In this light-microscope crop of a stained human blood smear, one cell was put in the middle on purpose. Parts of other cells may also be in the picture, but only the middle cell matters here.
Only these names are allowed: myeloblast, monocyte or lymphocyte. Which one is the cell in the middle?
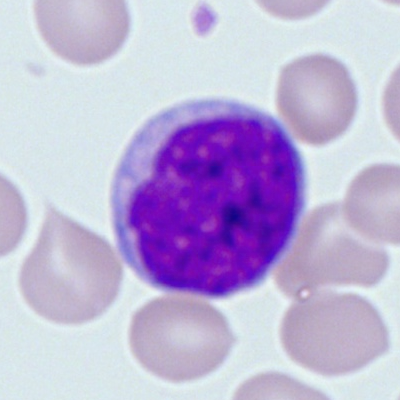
myeloblast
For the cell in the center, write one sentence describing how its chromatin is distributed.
The nucleus shows chromatin that is coarsely clumped.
